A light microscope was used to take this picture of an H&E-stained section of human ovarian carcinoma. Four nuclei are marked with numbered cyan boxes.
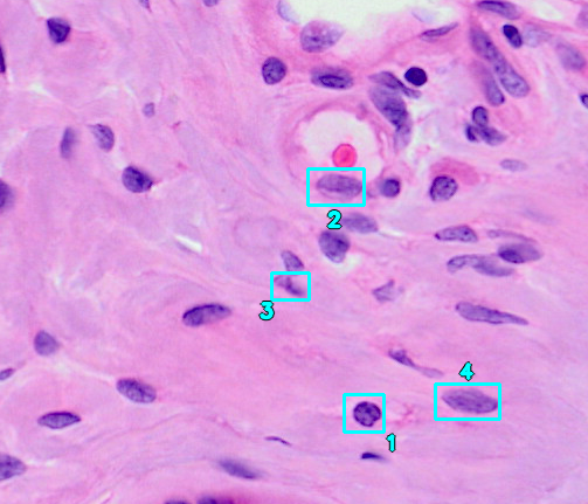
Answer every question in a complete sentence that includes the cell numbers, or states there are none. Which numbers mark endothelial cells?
Only the cell carrying number 2 is an endothelial cell.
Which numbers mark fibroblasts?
The cells with numbers 3 and 4 are fibroblasts by type.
